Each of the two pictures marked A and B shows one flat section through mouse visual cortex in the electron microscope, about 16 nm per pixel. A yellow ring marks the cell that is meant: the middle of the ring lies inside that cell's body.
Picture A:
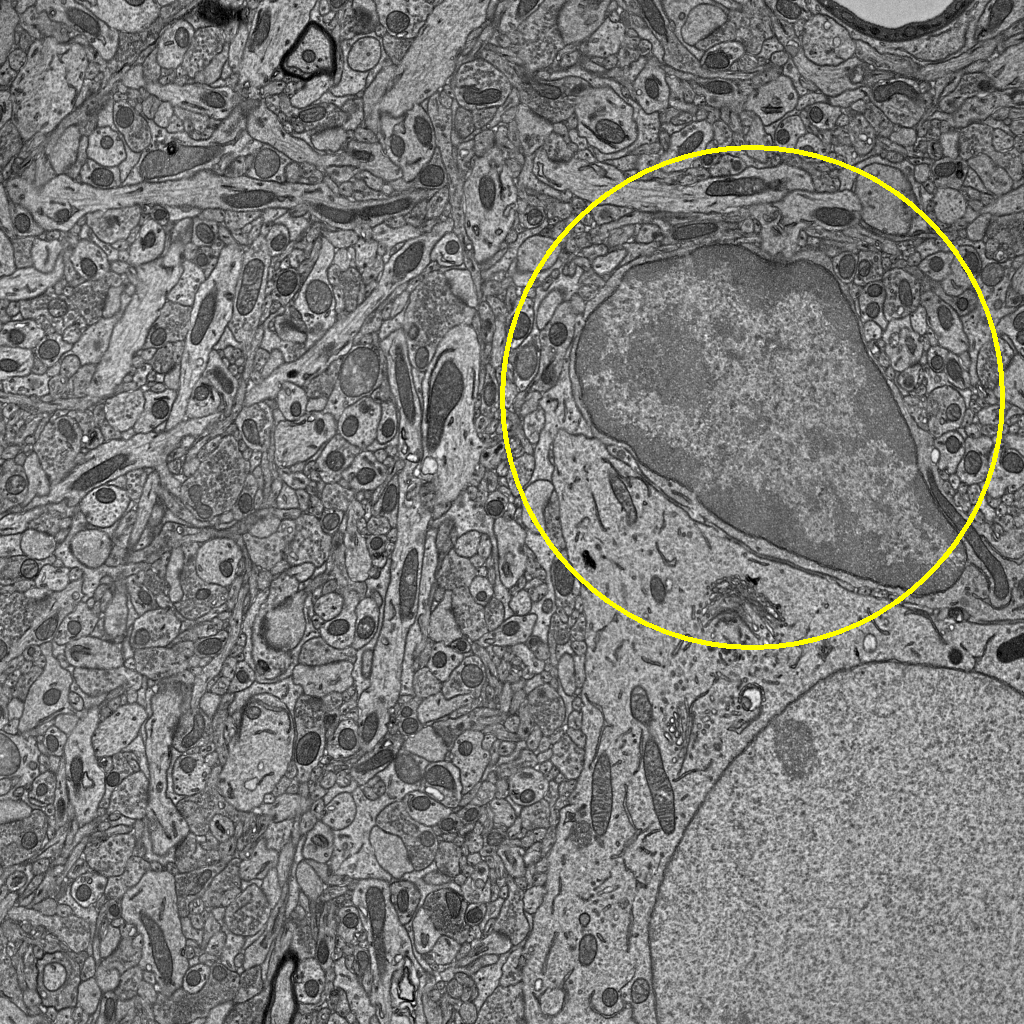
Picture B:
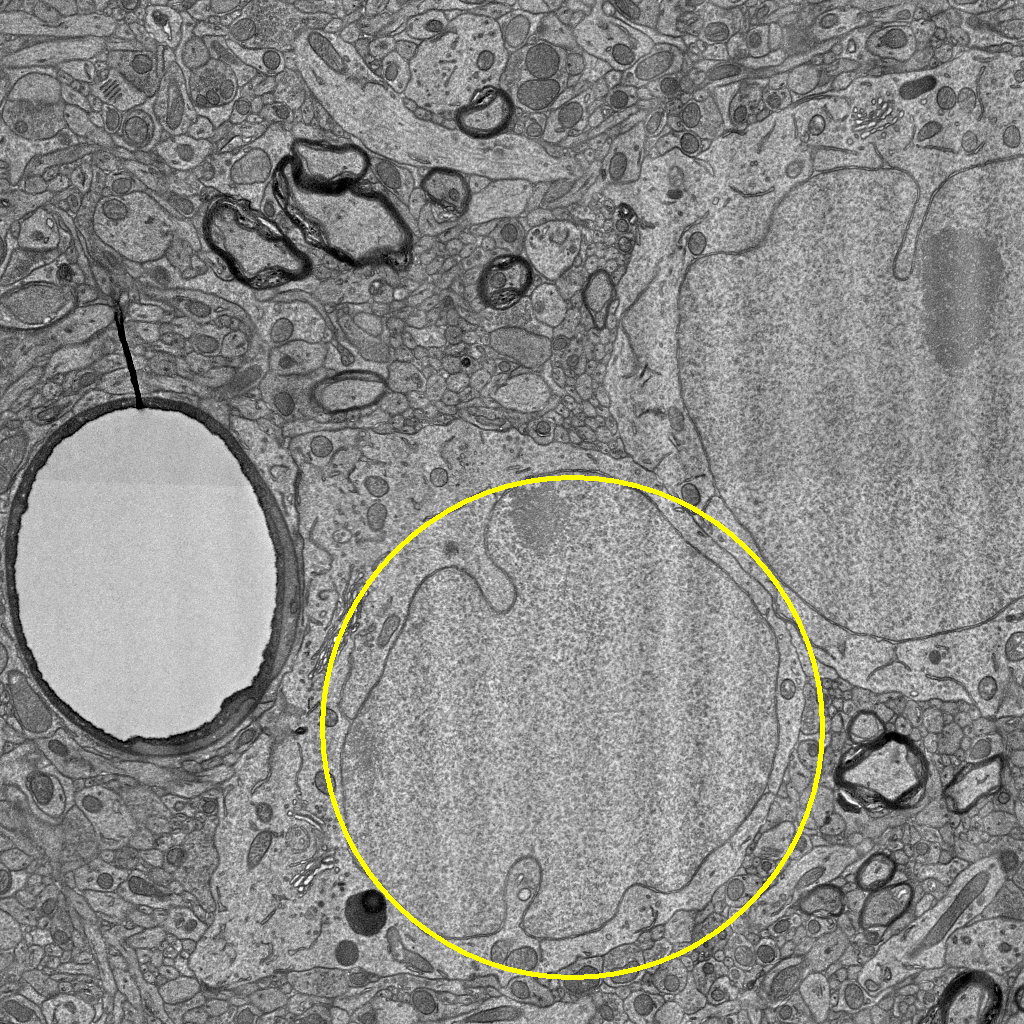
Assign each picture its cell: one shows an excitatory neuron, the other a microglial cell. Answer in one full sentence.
In picture A the cell is a microglial cell; in picture B, an excitatory neuron.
